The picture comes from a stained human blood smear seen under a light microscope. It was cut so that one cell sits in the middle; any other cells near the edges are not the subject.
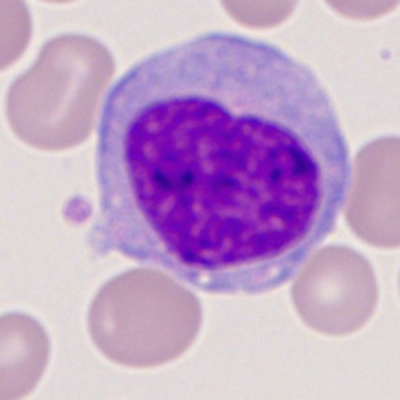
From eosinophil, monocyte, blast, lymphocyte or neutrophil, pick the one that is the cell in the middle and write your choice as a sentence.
Answering briefly, the cell in the middle is a monocyte.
